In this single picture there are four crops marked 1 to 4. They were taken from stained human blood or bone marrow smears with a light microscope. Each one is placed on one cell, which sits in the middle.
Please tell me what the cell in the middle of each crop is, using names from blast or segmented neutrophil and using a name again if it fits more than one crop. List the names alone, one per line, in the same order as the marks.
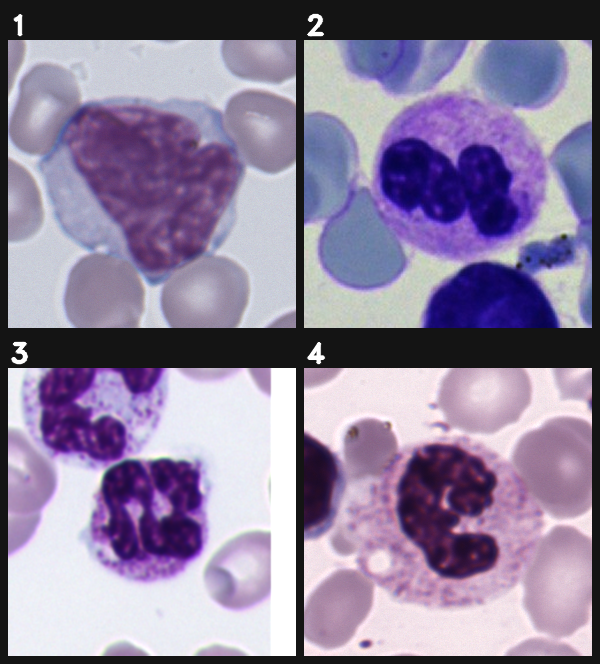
blast
segmented neutrophil
segmented neutrophil
segmented neutrophil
